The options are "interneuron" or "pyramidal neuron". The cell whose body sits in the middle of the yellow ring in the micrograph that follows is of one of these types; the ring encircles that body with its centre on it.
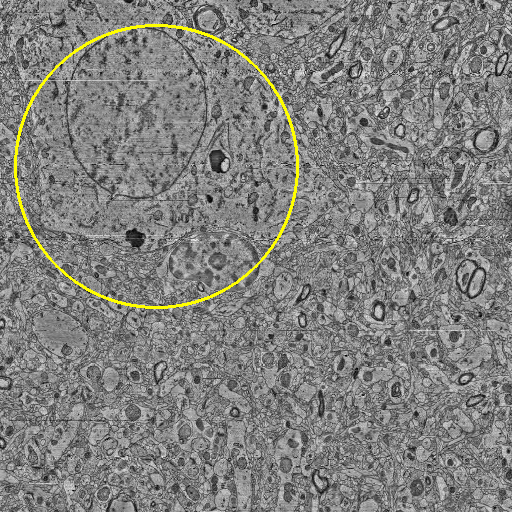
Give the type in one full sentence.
Going by the micrograph, the cell centred in the yellow ring is a pyramidal neuron.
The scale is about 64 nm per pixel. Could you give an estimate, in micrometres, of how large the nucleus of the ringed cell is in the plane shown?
In this plane, roughly 11 by 9 micrometres.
